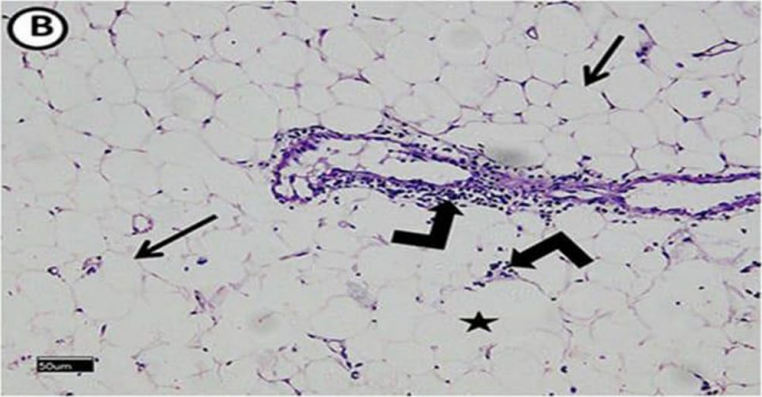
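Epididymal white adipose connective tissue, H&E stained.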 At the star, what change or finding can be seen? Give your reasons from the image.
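Ruptured cell boundaries. Near the star the thin cell borders are broken and incomplete. Neighbouring clear spaces run together without a dividing wall.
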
